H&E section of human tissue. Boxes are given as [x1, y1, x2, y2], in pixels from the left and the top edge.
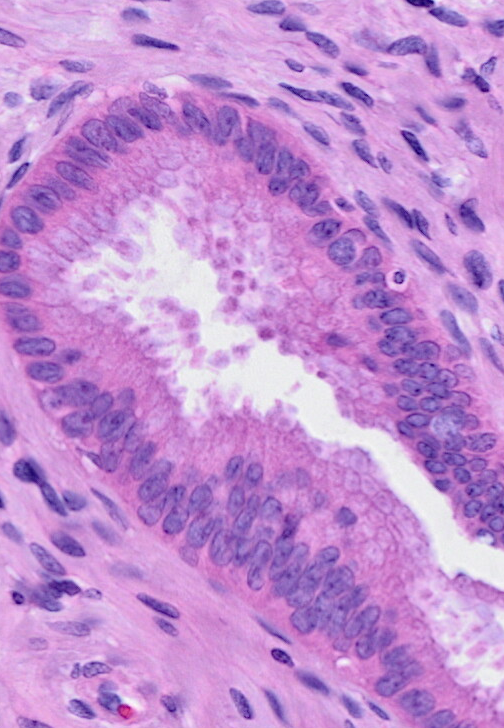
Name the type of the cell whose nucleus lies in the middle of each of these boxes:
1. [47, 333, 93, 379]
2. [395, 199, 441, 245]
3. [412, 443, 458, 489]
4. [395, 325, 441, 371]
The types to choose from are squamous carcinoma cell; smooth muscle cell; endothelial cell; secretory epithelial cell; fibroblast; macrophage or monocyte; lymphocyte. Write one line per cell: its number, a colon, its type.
1: secretory epithelial cell
2: fibroblast
3: secretory epithelial cell
4: secretory epithelial cell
